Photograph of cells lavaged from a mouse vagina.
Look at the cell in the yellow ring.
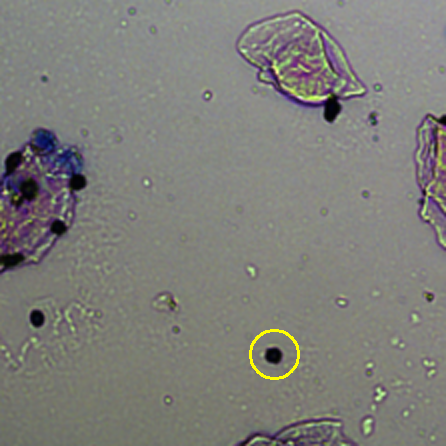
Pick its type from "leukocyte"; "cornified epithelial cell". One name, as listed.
leukocyte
